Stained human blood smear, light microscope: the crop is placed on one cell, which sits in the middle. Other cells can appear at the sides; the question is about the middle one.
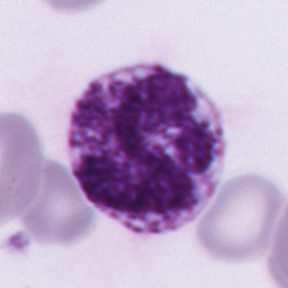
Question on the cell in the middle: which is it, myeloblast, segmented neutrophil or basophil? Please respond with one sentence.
In the middle of this smear crop is a basophil.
